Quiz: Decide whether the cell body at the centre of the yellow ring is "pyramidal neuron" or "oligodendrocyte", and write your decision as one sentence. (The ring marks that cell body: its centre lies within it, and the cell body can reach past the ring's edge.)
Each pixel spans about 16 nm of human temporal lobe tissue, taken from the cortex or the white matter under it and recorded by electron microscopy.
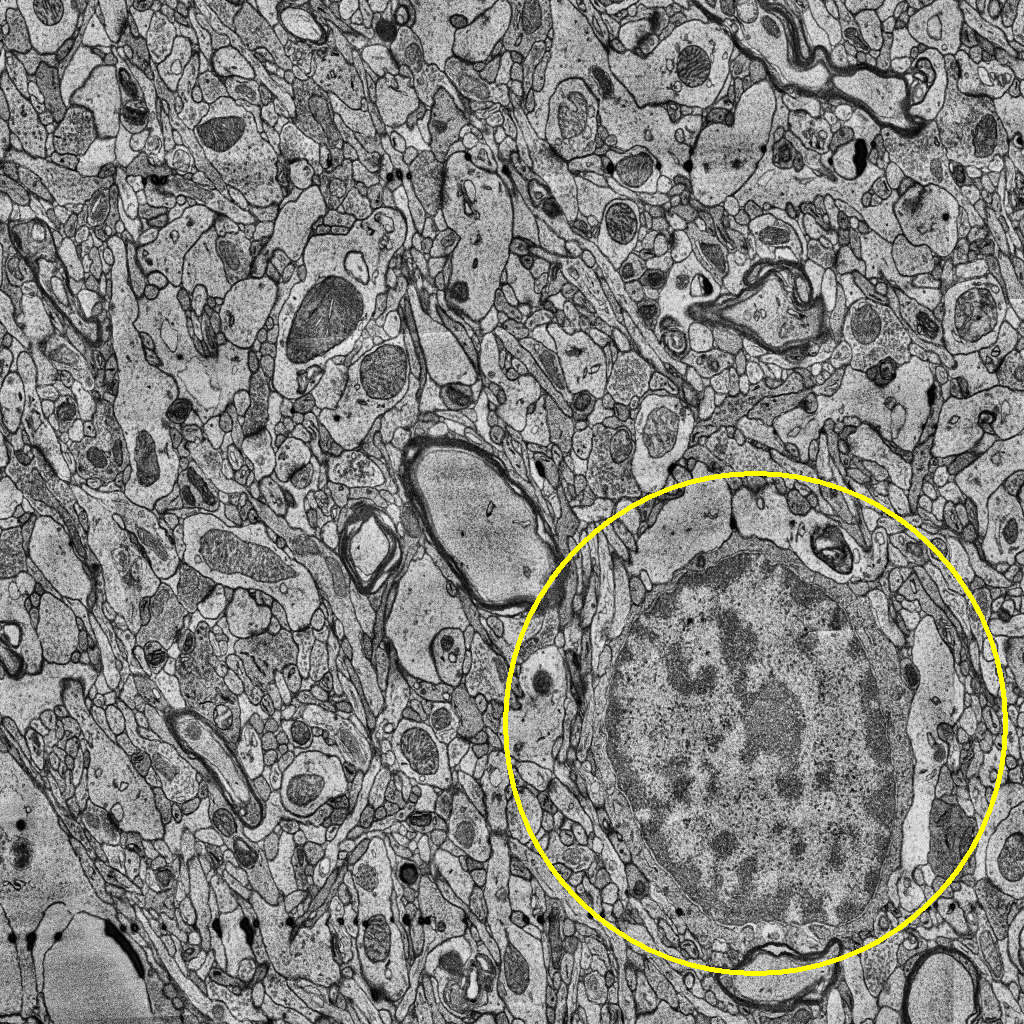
The cell holding the ring's centre is an oligodendrocyte.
